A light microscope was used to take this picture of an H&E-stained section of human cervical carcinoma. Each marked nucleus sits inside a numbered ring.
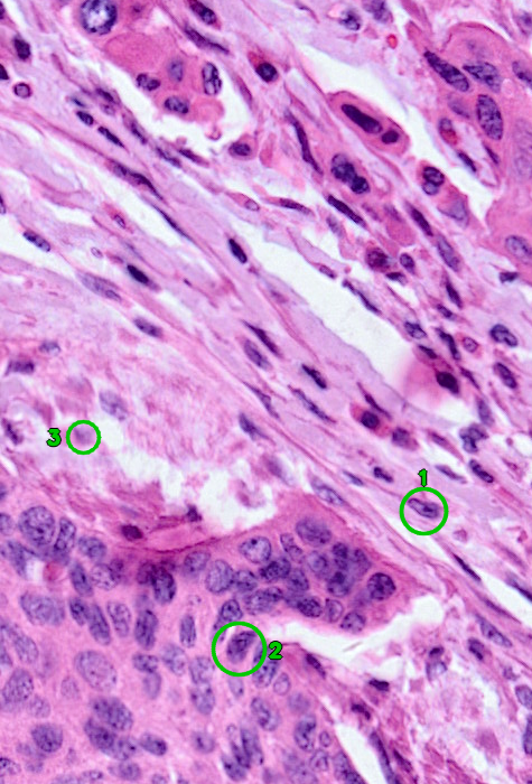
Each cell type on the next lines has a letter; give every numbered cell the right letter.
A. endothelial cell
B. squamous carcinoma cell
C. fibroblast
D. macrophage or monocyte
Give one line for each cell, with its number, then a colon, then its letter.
1: D
2: B
3: C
